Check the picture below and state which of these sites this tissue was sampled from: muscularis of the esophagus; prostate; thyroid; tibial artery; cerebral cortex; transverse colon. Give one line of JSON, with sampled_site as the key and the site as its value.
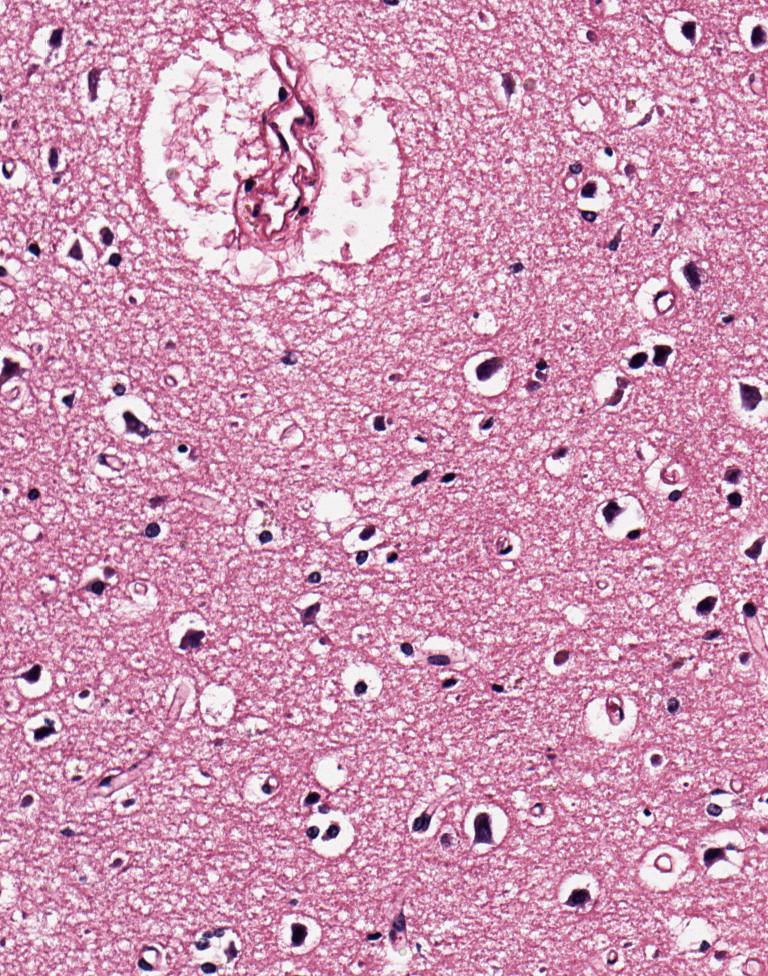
{"sampled_site": "cerebral cortex"}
